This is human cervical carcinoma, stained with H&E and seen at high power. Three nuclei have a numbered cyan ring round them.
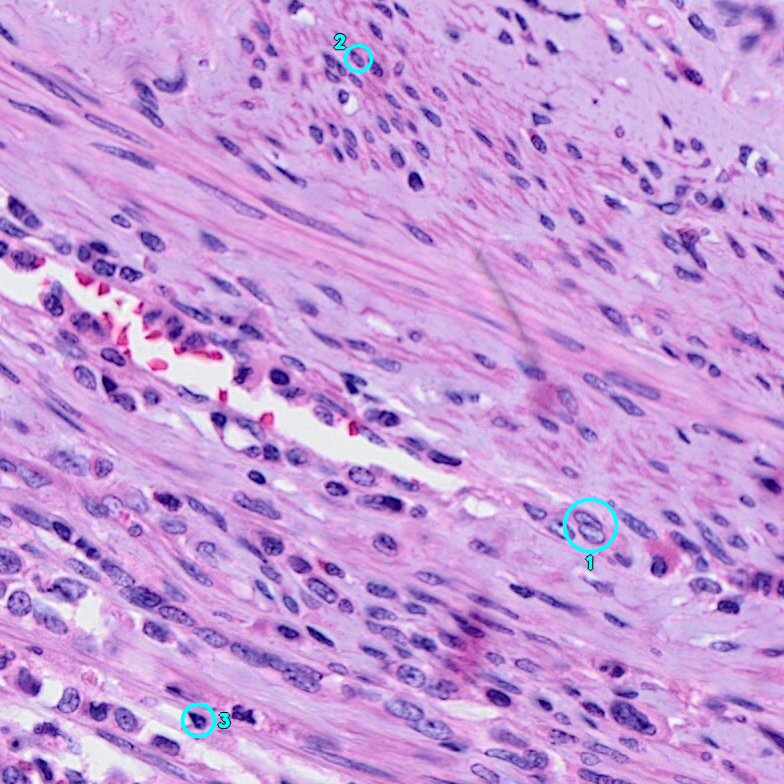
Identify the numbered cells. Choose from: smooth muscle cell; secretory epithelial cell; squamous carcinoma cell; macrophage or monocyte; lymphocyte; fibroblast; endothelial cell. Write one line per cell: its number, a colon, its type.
1: endothelial cell
2: smooth muscle cell
3: lymphocyte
